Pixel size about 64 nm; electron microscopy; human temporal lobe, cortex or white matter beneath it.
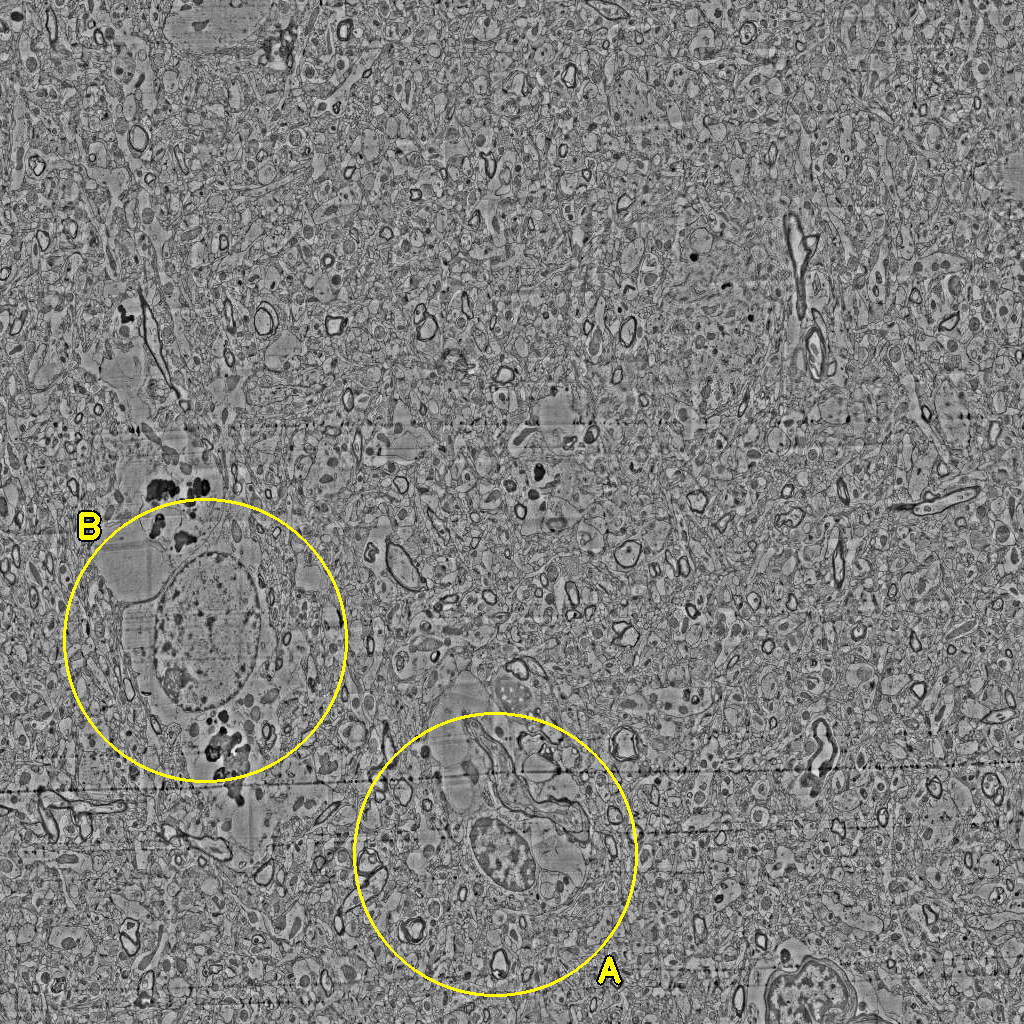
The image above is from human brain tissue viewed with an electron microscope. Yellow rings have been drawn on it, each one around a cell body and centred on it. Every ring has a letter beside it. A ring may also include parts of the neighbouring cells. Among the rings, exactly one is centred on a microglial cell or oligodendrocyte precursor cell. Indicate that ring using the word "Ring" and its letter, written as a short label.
Ring A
